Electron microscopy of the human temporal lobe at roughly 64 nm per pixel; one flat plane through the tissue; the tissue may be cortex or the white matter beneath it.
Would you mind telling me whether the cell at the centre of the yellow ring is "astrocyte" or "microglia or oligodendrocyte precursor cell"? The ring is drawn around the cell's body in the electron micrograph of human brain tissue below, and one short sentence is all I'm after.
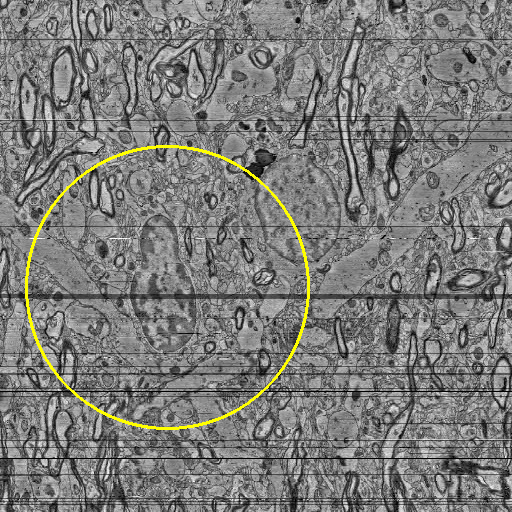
In the centre of the ring lies a microglial cell or oligodendrocyte precursor cell.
